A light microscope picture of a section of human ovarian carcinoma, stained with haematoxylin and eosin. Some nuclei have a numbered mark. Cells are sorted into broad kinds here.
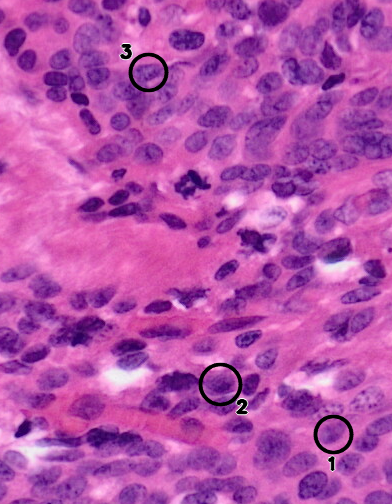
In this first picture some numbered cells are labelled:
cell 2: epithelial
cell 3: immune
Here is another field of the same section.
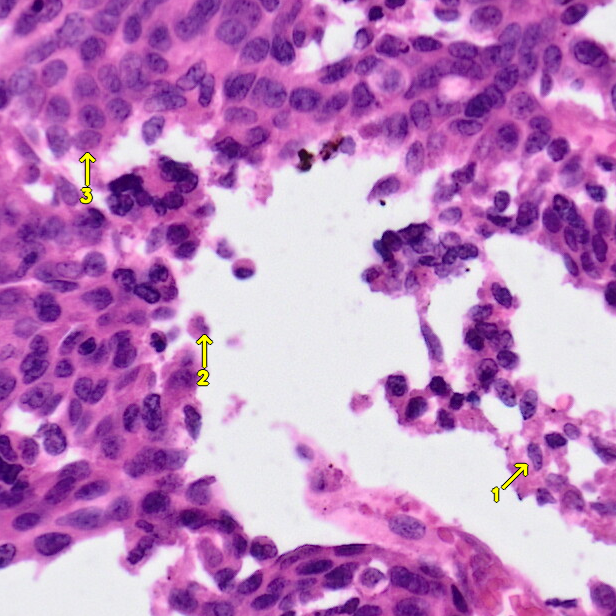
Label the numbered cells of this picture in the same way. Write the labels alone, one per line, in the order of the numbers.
immune
immune
epithelial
